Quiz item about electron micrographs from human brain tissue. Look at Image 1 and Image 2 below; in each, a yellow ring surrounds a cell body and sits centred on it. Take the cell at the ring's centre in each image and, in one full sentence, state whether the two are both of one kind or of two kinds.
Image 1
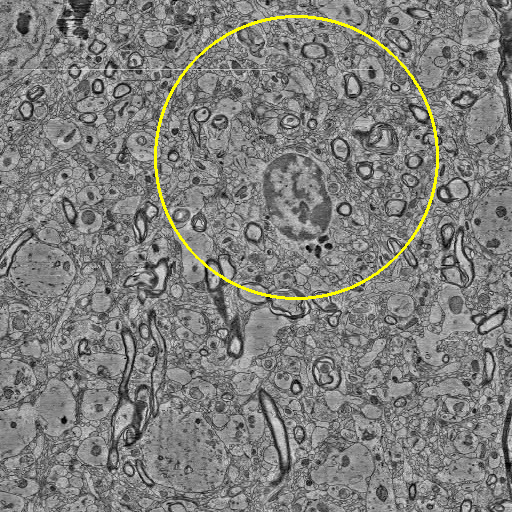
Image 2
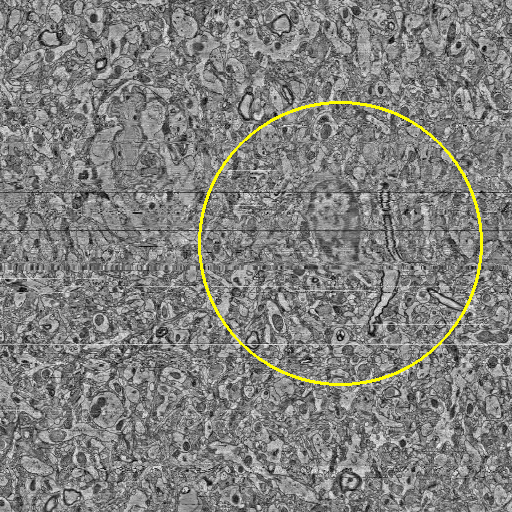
In Image 1 and Image 2, the cells at the ring centres are of two kinds.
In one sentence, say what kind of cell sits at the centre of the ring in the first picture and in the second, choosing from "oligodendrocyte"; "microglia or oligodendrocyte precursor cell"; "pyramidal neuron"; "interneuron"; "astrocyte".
The first picture's ringed cell is a microglial cell or oligodendrocyte precursor cell, while the second picture's is an oligodendrocyte.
